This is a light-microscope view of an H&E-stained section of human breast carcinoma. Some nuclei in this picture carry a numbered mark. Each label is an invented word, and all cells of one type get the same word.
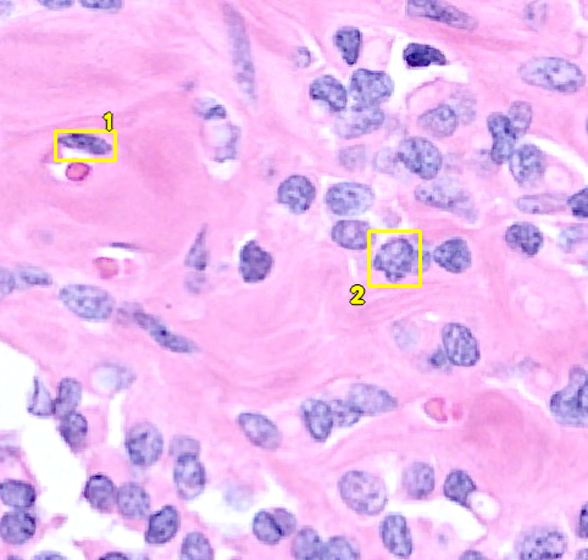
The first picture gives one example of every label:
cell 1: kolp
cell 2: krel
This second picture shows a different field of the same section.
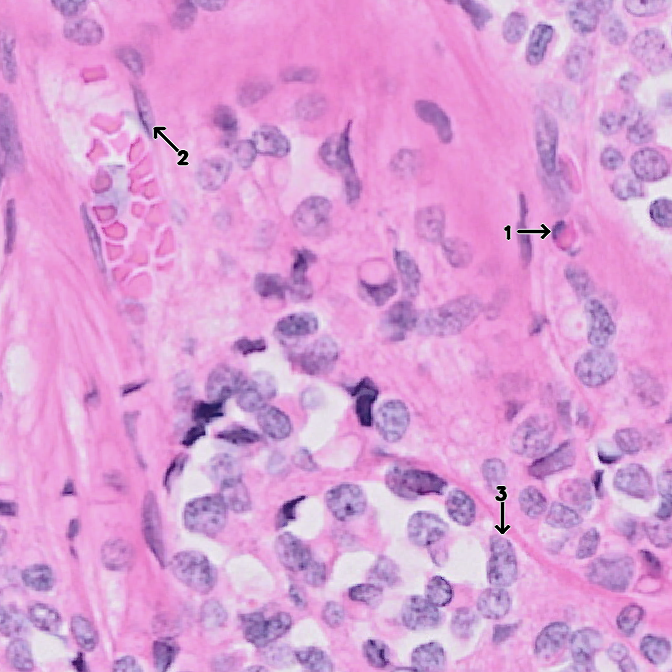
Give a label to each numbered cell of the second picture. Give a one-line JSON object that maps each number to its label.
{"1": "kolp", "2": "kolp", "3": "krel"}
